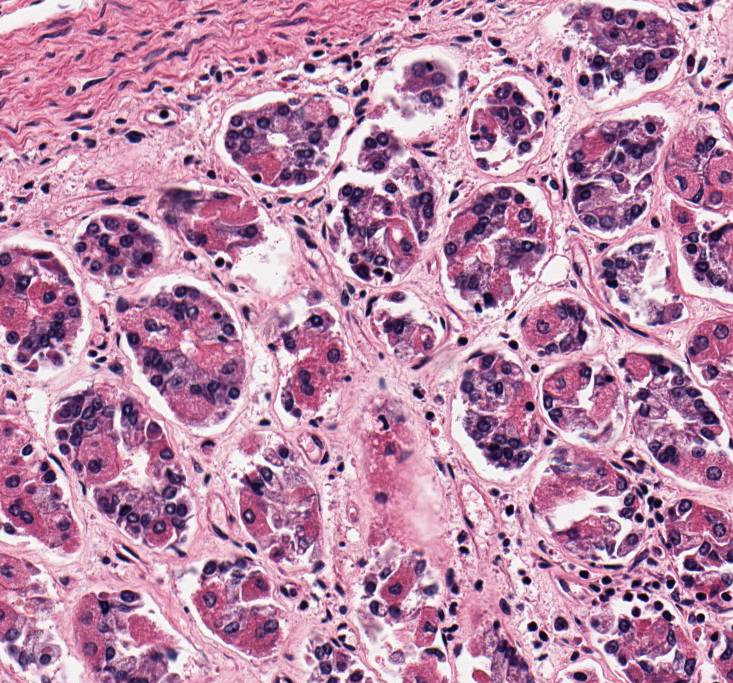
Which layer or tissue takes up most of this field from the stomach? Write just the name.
fundic glands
